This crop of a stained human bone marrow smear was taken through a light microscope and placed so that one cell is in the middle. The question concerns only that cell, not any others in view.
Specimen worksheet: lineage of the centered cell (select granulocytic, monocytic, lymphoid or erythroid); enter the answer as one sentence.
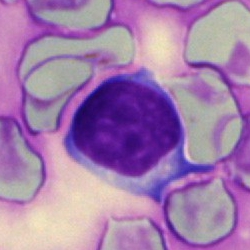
The middle cell should be classed under the lymphoid lineage.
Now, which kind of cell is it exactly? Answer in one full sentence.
In the central position of this crop, the cell is a lymphocyte.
